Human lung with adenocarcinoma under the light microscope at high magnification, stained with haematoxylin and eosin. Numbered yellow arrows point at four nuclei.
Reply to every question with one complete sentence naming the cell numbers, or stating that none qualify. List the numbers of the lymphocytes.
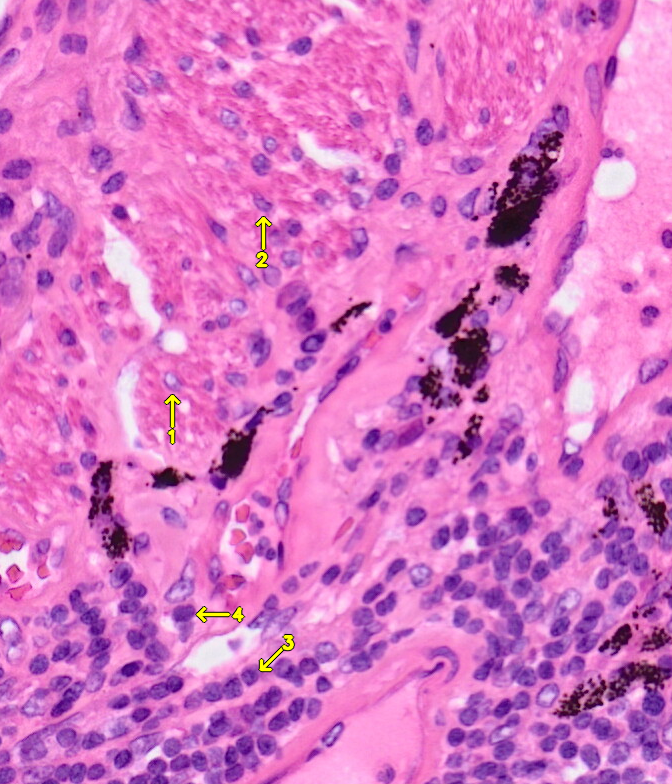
Cells 3 and 4 are classified as lymphocytes.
